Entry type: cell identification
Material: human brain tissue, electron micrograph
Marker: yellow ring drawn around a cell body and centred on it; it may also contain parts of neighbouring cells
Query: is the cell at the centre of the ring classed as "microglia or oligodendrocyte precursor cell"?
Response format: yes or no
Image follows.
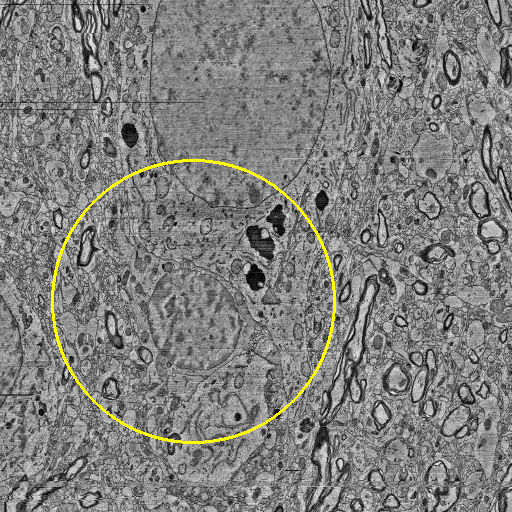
no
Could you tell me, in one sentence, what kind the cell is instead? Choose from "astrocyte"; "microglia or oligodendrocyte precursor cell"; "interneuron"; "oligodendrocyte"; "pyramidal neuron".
The ring's central cell is an oligodendrocyte instead.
